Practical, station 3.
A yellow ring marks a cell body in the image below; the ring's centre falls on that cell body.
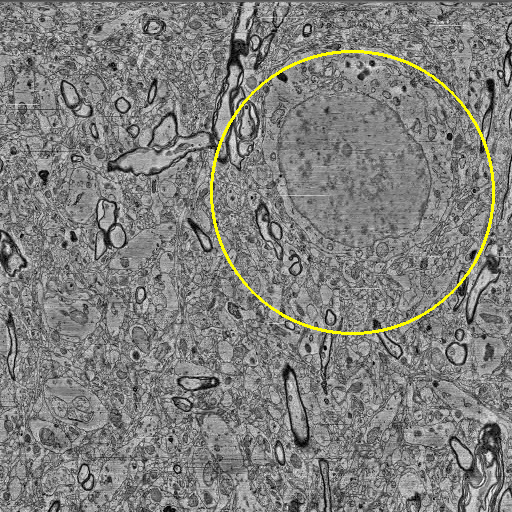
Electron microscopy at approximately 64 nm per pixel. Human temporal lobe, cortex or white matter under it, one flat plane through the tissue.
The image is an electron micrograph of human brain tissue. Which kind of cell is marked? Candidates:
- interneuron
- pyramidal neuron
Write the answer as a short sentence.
The marked cell body is that of an interneuron.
